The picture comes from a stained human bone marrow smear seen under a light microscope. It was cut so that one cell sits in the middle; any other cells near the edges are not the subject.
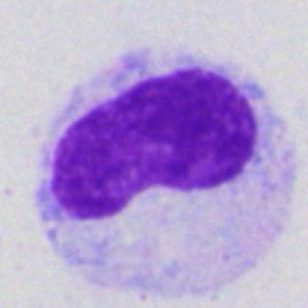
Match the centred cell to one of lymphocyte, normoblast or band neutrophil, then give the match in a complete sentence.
The cell at the centre of the field is a band neutrophil.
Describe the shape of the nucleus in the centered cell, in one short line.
In this cell the nucleus is a solitary compact mass, round, oval or kidney-shaped.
